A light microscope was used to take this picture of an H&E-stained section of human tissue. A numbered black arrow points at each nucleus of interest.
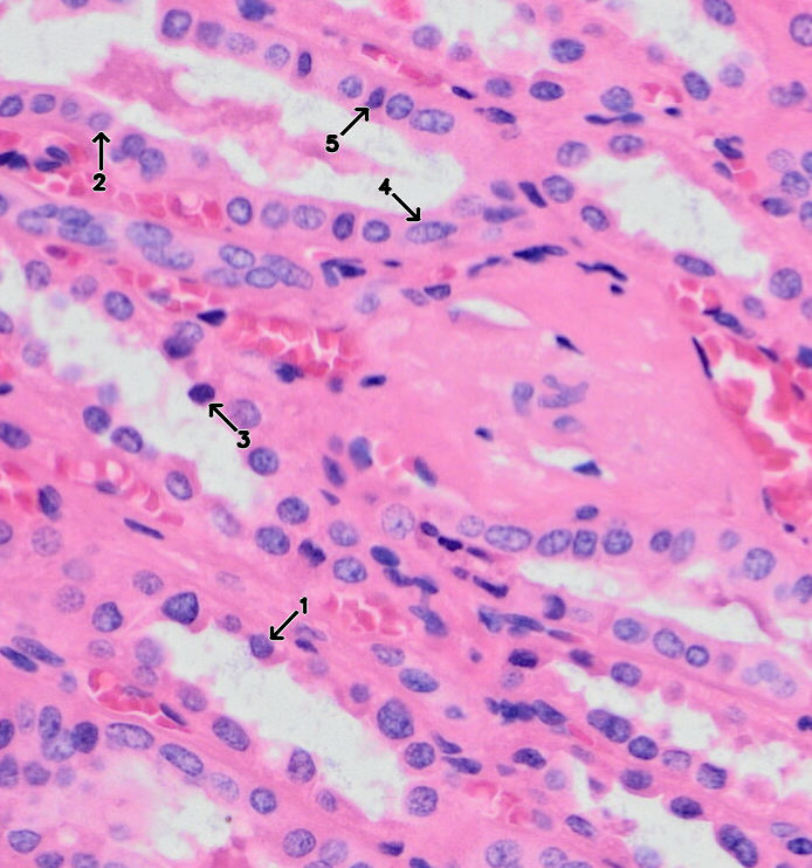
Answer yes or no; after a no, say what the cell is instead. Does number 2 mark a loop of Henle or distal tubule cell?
No, it is a collecting duct cell.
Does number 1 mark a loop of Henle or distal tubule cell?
Yes.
